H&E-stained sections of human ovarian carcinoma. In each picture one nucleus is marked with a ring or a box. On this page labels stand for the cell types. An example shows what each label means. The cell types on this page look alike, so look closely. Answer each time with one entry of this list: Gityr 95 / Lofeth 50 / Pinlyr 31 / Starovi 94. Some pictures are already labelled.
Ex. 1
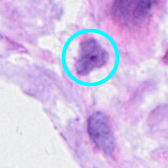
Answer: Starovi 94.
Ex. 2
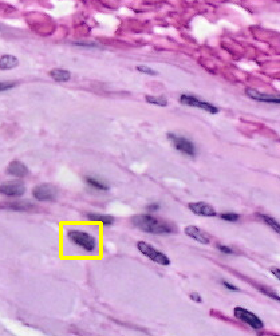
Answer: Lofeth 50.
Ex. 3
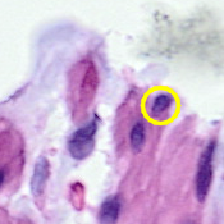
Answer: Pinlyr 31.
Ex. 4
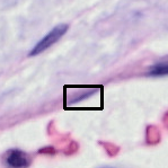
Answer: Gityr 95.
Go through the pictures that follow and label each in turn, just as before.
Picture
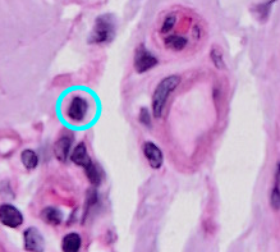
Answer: Lofeth 50.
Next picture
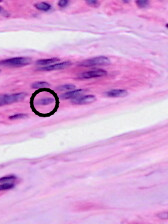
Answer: Pinlyr 31.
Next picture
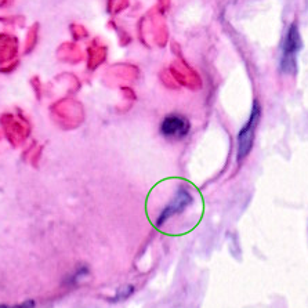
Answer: Gityr 95.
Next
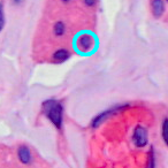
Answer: Pinlyr 31.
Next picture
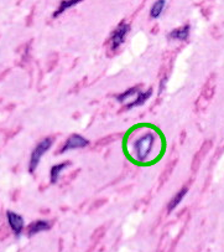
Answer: Starovi 94.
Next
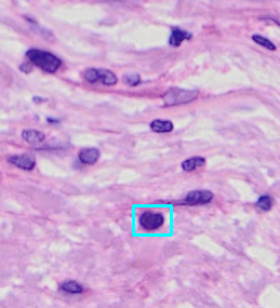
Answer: Lofeth 50.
